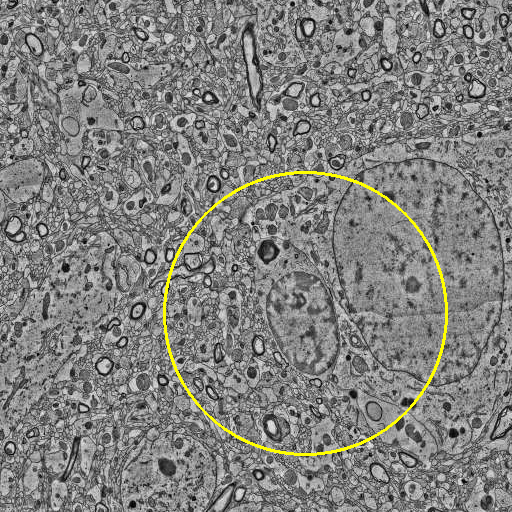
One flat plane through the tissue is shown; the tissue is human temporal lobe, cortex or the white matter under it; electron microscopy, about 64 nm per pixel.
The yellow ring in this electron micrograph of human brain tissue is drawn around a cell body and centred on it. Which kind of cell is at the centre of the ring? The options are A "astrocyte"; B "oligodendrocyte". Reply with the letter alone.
B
